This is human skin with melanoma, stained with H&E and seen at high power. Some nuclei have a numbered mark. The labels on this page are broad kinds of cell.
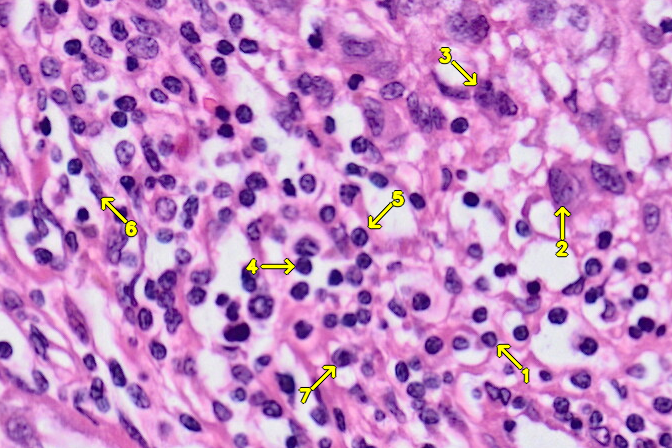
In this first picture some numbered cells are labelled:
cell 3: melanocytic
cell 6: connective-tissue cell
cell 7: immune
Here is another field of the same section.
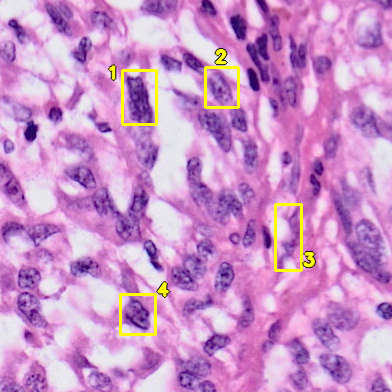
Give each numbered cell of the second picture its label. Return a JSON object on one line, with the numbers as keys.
{"1": "melanocytic", "2": "melanocytic", "3": "connective-tissue cell", "4": "melanocytic"}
